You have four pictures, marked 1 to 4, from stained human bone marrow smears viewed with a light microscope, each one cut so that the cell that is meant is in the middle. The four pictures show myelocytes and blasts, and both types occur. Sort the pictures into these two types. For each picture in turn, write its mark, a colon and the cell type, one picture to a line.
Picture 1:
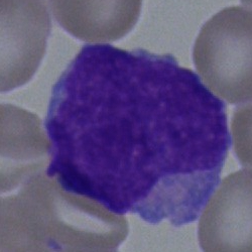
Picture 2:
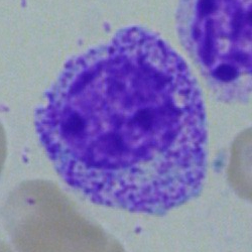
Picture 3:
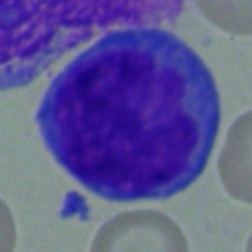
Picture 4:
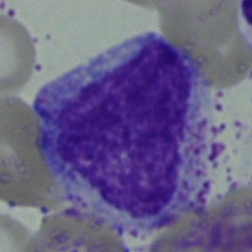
1: blast
2: myelocyte
3: blast
4: myelocyte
